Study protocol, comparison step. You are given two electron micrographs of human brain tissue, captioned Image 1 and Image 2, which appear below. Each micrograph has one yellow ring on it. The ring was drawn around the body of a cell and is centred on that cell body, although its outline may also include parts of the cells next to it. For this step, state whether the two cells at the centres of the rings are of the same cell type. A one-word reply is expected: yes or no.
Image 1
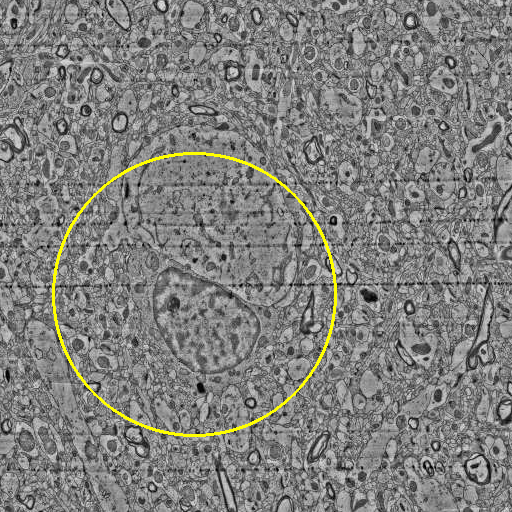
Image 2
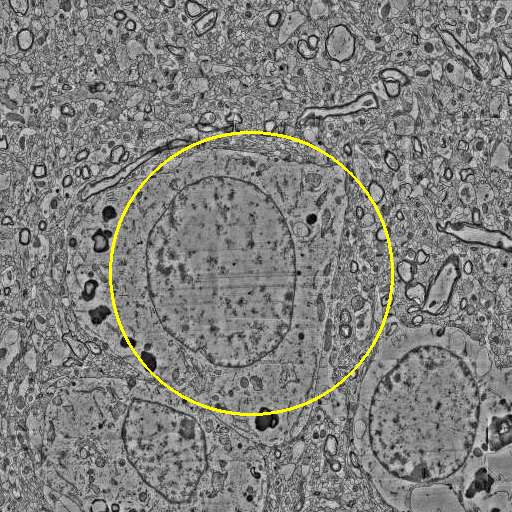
no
